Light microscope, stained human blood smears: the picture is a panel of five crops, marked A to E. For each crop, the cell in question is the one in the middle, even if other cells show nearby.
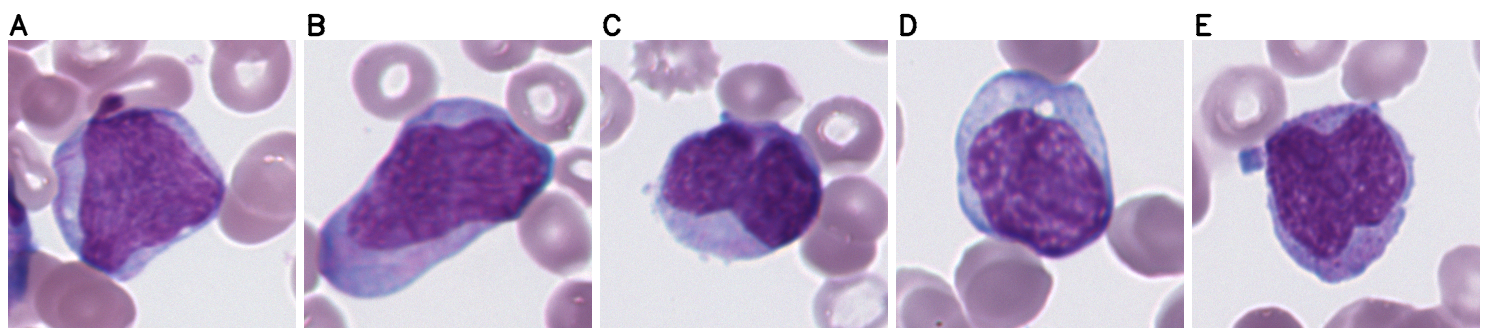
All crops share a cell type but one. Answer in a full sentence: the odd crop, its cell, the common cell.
Every crop but one shows atypical promyelocytes; the exception, crop D, shows a myeloblast.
